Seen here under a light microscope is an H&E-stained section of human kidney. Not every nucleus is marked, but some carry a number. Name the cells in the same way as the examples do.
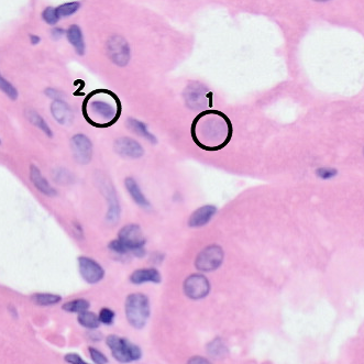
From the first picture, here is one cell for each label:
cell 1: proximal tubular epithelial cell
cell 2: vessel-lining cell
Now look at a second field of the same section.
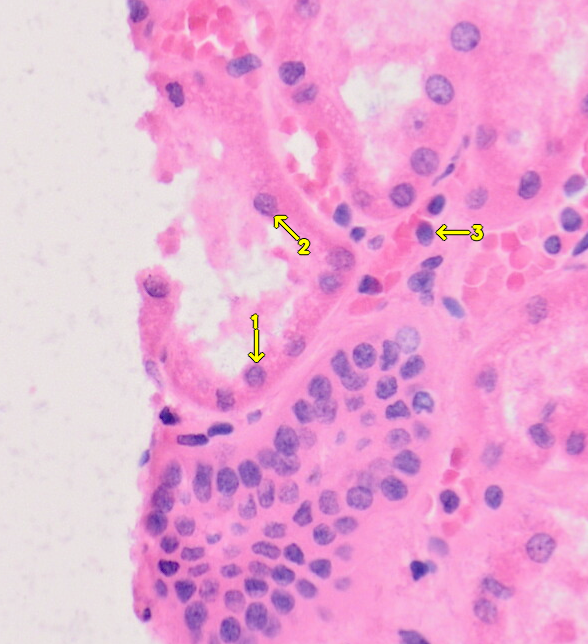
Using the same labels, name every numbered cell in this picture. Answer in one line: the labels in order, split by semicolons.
proximal tubular epithelial cell; proximal tubular epithelial cell; vessel-lining cell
